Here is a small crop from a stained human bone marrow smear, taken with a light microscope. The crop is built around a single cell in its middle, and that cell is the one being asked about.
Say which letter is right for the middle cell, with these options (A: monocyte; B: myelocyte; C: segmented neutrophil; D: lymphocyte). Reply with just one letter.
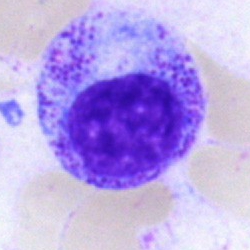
B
